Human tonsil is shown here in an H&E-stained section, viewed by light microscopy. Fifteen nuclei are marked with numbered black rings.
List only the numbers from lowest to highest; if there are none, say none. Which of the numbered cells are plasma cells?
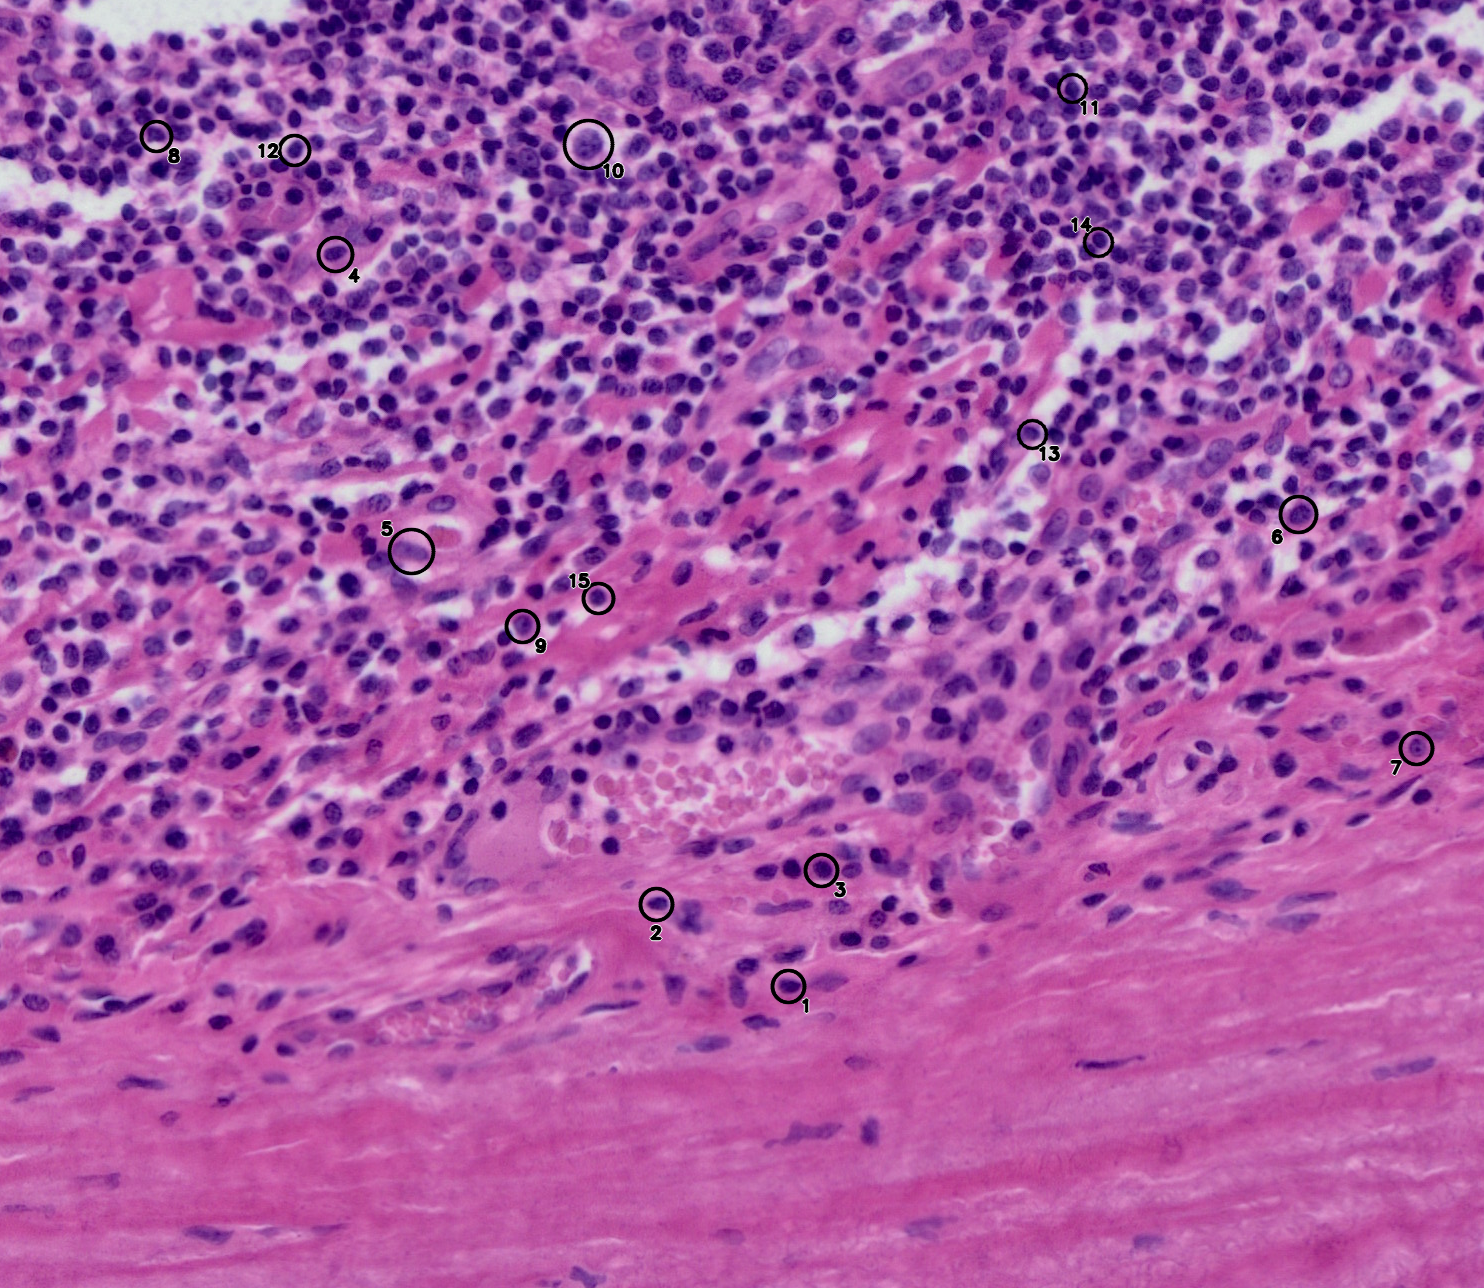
3, 6, 9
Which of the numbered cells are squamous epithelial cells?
none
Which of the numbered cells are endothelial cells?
4, 5, 13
